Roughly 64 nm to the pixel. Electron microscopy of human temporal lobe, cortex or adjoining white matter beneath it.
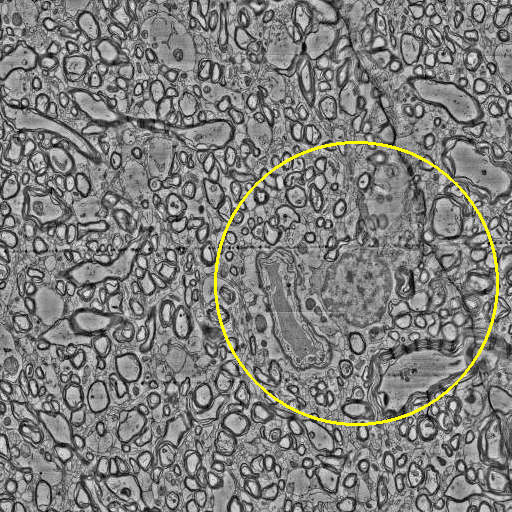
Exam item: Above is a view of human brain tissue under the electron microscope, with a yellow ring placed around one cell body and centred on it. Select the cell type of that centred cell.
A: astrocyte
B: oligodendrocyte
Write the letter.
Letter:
B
